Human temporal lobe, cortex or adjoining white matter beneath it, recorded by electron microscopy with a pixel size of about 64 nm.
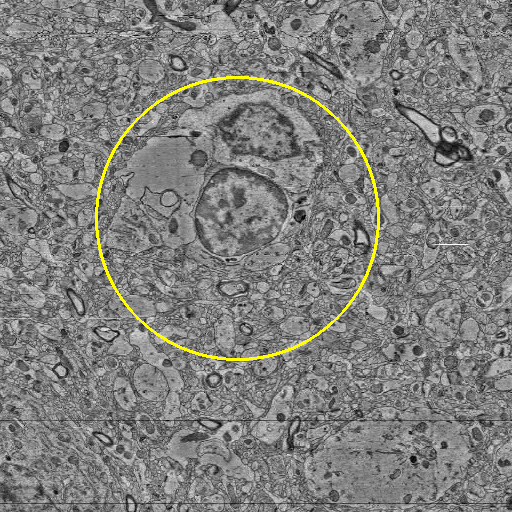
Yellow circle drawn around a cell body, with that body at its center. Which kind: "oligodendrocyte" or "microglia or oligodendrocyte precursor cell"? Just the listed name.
microglia or oligodendrocyte precursor cell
